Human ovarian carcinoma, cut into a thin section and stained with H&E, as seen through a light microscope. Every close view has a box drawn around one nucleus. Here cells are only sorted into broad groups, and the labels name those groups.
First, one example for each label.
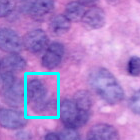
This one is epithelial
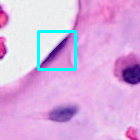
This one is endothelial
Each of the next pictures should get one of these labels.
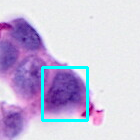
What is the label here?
epithelial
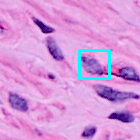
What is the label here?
endothelial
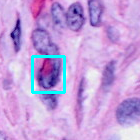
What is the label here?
endothelial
